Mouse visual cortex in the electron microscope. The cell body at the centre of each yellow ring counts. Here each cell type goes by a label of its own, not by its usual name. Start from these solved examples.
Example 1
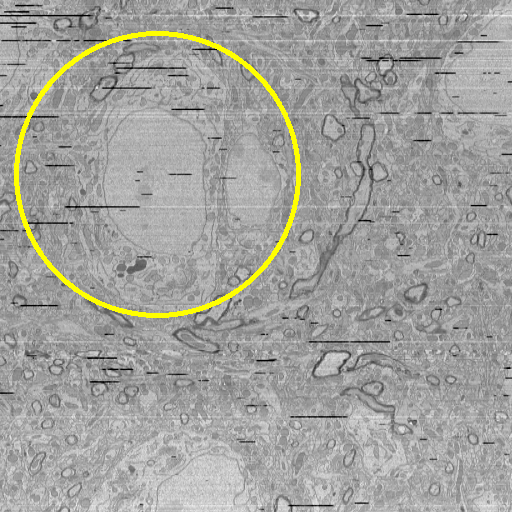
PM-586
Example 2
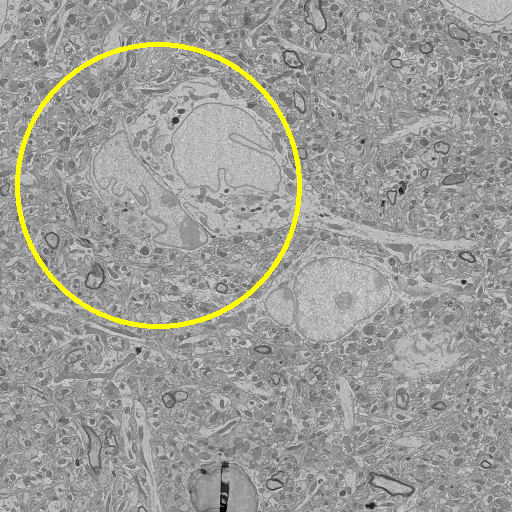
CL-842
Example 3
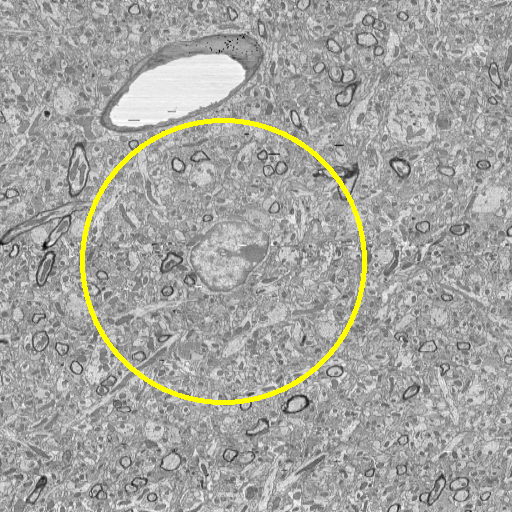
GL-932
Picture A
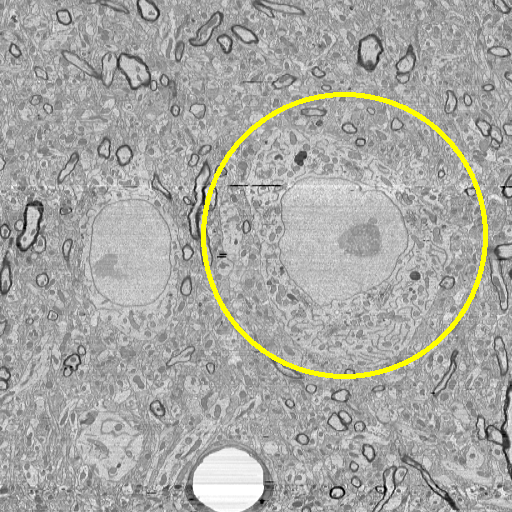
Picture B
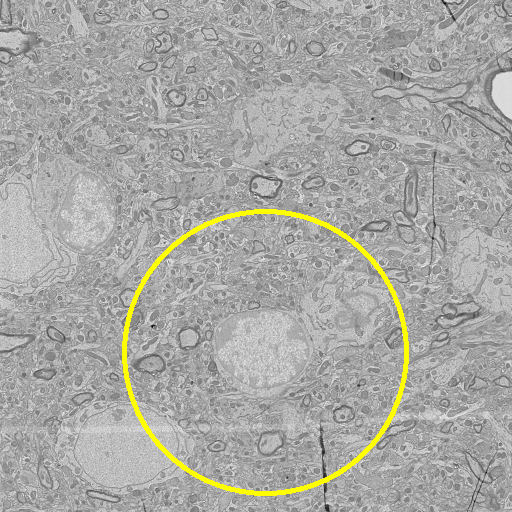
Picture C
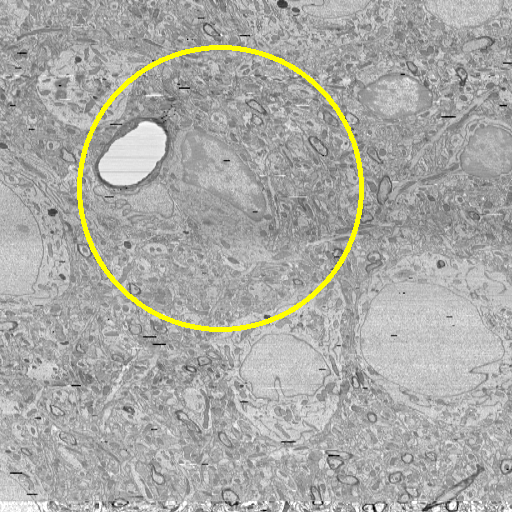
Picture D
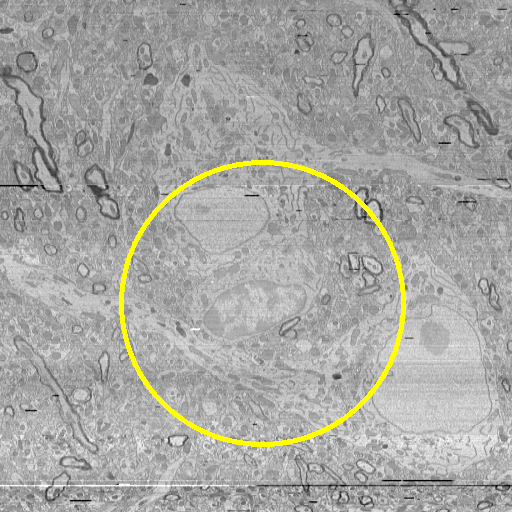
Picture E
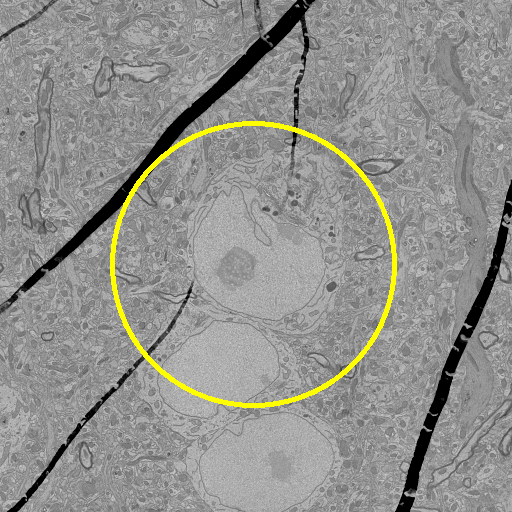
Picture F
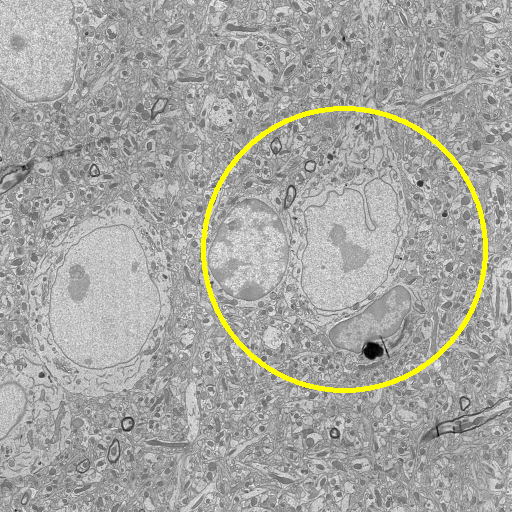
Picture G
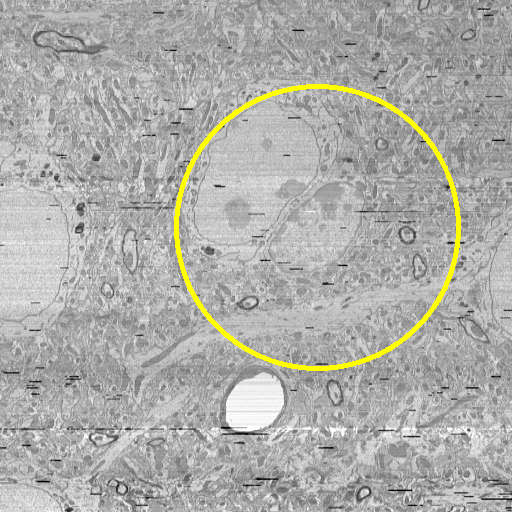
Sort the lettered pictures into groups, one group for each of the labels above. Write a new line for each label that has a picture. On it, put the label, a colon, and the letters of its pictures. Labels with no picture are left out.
PM-586: A, E, F
GL-932: B, C, D, G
